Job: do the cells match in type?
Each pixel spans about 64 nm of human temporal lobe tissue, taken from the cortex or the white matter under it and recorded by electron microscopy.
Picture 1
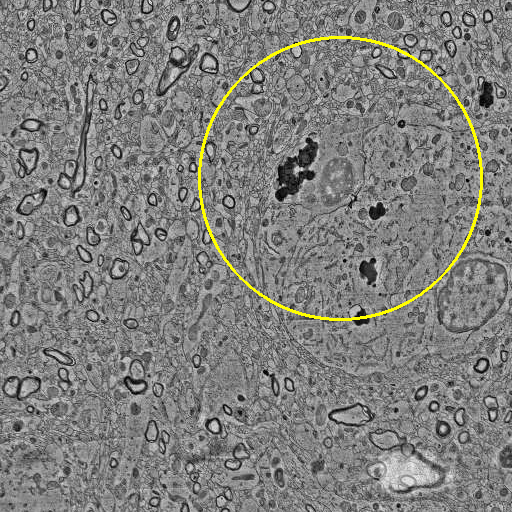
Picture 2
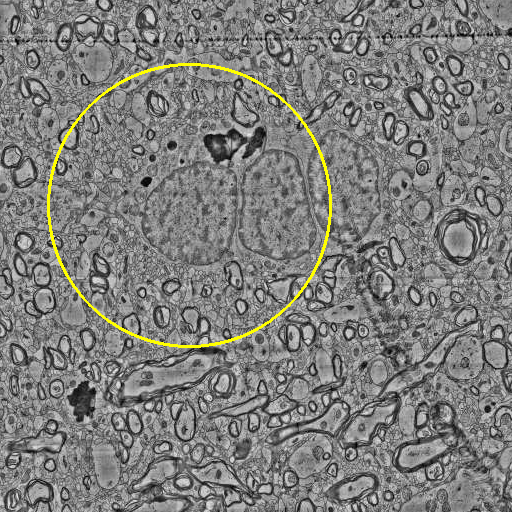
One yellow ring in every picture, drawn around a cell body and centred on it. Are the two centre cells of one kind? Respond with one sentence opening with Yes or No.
Yes, the ringed cells in the two pictures are of one and the same kind.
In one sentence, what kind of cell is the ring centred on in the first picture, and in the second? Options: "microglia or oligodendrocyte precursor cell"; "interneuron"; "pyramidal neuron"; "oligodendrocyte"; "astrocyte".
The ring centre holds an oligodendrocyte in each of the two pictures.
